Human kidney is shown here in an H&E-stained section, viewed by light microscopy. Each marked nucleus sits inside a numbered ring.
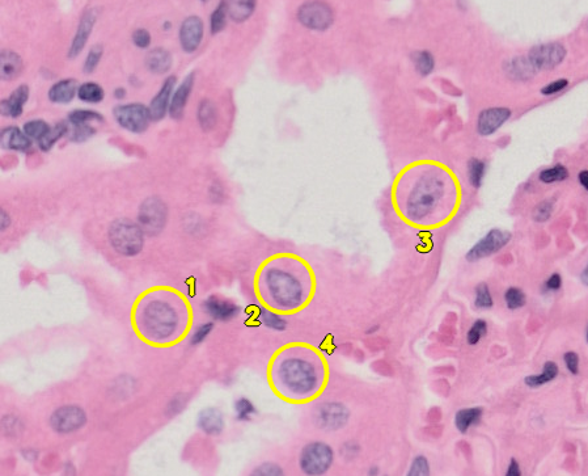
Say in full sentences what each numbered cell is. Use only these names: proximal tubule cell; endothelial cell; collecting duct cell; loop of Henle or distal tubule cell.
Cells 1, 2 and 3 are proximal tubule cells. Cell 4 is a loop of Henle or distal tubule cell.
